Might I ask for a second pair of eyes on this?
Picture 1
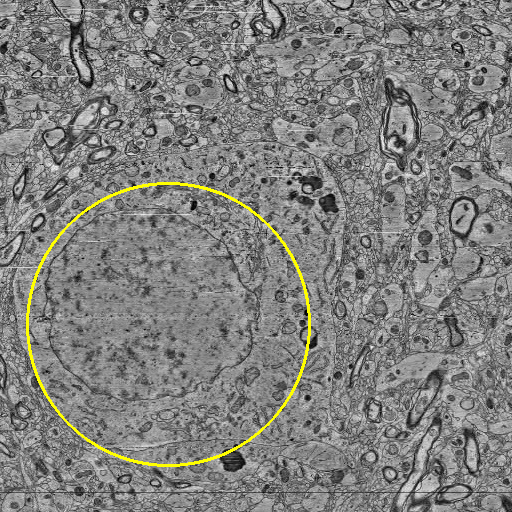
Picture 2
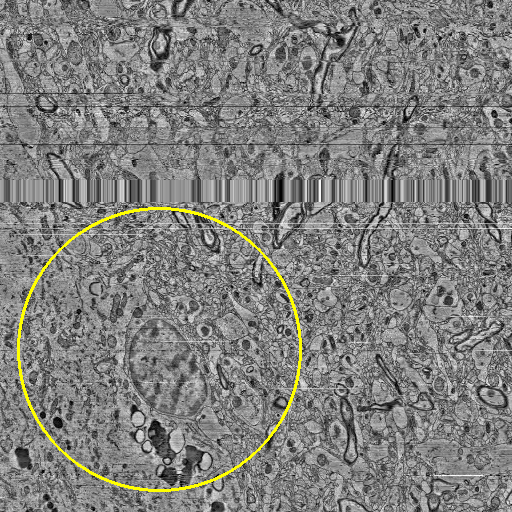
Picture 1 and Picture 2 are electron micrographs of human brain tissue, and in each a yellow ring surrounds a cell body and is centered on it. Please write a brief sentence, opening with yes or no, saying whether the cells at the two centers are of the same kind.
No, the cells are of two kinds.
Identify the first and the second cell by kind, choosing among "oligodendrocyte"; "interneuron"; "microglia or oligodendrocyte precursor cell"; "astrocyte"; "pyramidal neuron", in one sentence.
The one in the first picture is a pyramidal neuron, while the one in the second is an oligodendrocyte.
